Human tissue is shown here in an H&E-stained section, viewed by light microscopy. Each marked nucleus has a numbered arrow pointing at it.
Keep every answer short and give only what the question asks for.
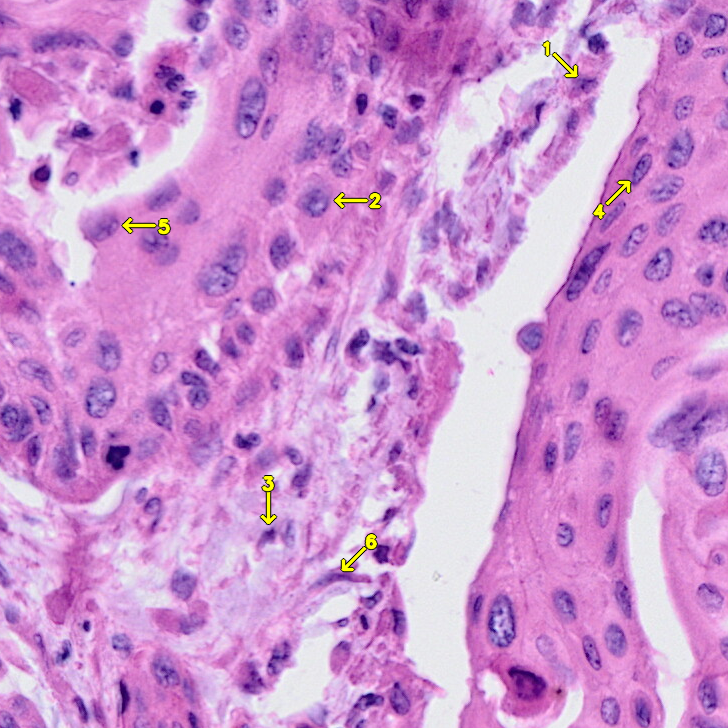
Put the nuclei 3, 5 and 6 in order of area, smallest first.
3, 6, 5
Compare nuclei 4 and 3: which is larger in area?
4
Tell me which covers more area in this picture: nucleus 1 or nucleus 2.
2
